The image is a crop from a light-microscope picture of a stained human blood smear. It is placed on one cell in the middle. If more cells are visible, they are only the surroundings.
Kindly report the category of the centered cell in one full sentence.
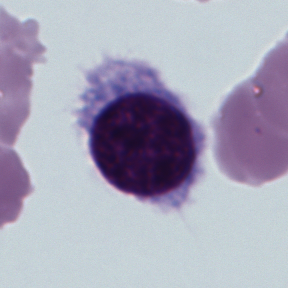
In the middle of this smear crop, the cell is a hairy cell.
